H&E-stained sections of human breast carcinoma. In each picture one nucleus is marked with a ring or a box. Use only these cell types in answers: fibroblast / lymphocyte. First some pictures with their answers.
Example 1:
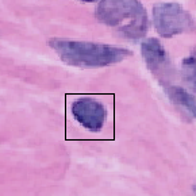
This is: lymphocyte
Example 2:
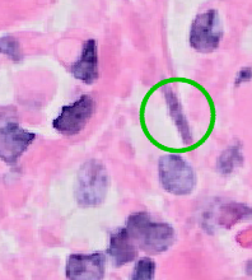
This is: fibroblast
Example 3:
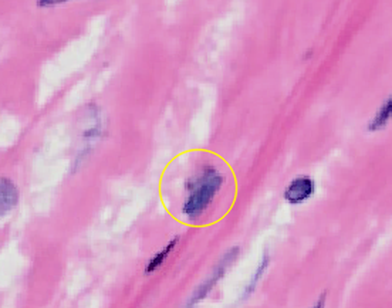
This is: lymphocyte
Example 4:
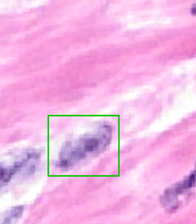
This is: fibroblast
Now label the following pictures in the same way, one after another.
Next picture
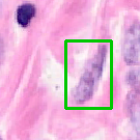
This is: fibroblast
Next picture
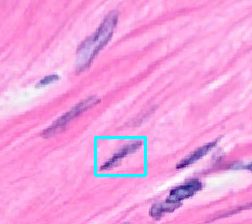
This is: fibroblast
